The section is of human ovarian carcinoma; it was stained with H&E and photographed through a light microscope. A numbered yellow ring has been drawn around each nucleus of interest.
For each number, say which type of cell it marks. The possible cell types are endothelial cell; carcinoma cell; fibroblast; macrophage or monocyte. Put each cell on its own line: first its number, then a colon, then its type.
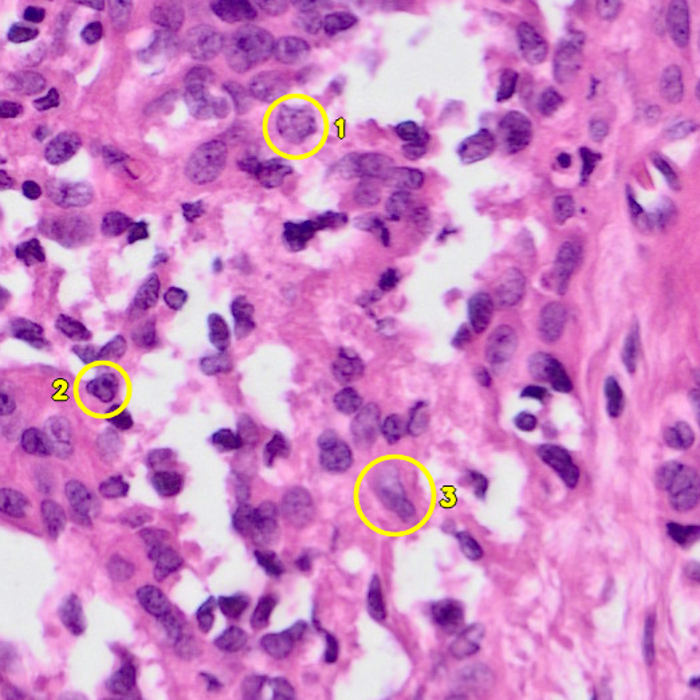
1: macrophage or monocyte
2: macrophage or monocyte
3: endothelial cell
